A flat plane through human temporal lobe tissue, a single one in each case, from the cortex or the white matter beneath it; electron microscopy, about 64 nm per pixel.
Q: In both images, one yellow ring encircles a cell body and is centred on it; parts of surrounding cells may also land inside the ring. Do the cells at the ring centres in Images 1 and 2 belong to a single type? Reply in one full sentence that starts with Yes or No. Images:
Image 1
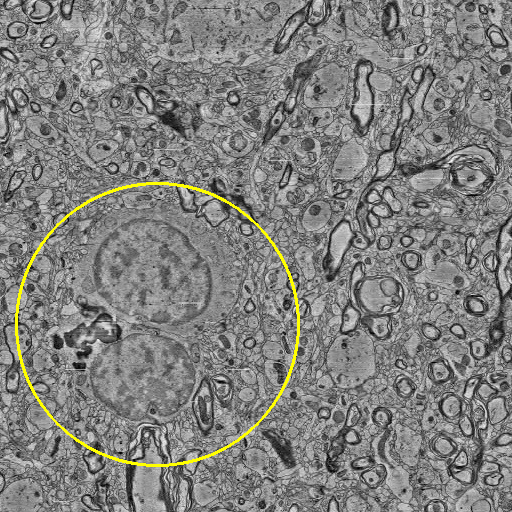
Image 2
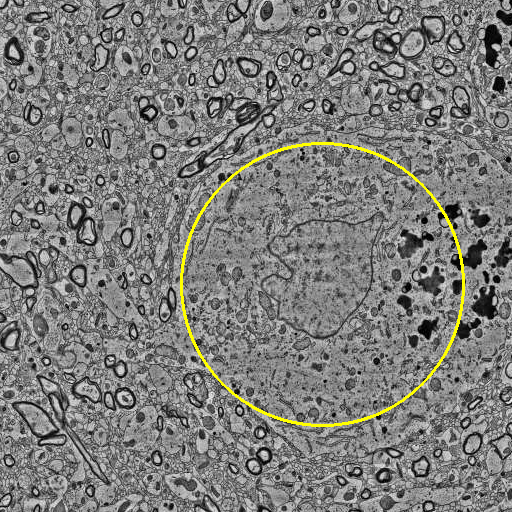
No, the cells at the ring centres in Images 1 and 2 are of two types.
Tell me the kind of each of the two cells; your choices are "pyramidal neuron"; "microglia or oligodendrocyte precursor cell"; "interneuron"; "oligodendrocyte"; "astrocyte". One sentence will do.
The ringed cell is an oligodendrocyte in the first picture and a pyramidal neuron in the second picture.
